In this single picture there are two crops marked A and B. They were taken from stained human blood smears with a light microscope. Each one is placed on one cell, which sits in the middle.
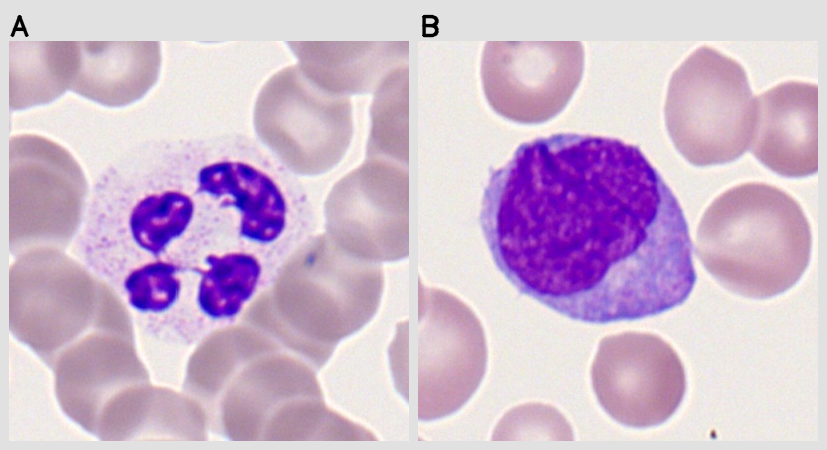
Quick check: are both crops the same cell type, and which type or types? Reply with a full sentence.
No, in crop B the central cell is a monocyte, and in crop A it is a segmented neutrophil.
